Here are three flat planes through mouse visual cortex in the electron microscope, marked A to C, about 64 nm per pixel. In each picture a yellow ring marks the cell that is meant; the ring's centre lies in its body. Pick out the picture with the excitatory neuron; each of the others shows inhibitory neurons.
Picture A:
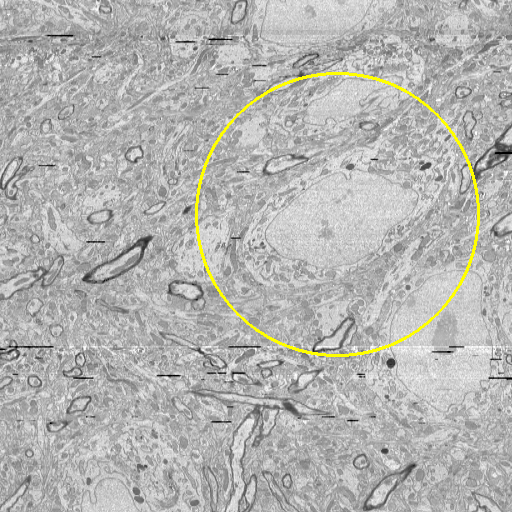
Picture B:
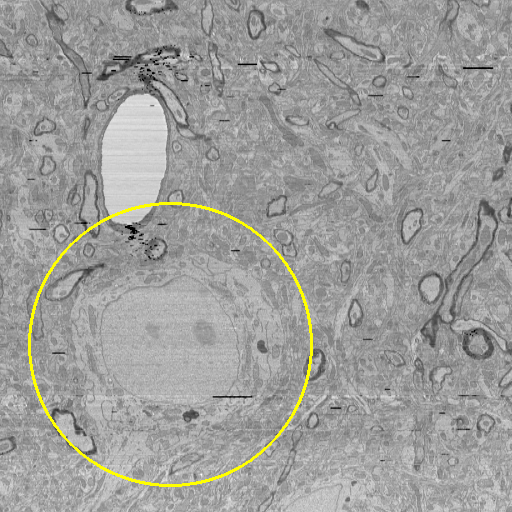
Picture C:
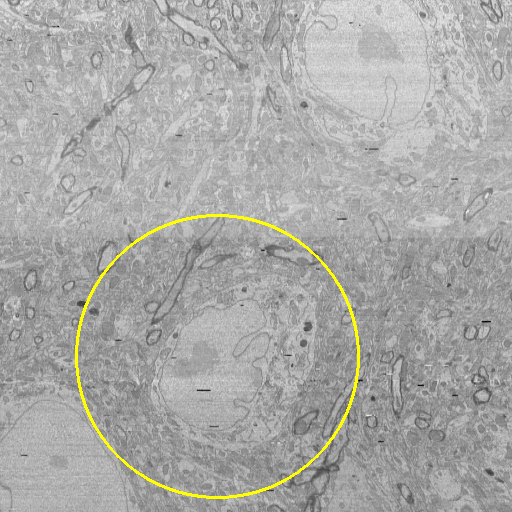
The picture with the excitatory neuron is B.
